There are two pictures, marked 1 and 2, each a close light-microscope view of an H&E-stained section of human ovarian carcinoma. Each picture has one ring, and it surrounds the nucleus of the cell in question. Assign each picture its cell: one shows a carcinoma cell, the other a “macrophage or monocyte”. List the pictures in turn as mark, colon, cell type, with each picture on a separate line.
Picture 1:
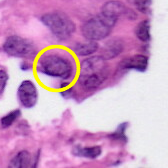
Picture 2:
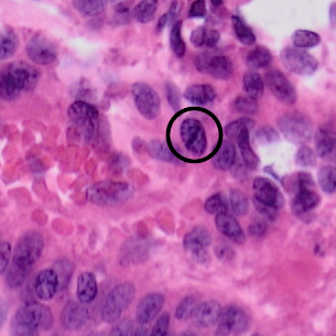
1: carcinoma cell
2: macrophage or monocyte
